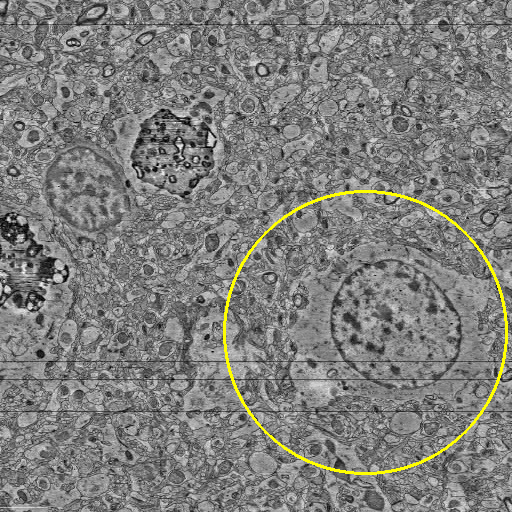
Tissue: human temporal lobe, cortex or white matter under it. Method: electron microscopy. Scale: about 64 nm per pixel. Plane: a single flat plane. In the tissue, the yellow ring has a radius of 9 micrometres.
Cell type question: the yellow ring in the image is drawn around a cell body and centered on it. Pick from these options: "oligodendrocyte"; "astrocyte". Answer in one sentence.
The ringed cell at the center is an astrocyte.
